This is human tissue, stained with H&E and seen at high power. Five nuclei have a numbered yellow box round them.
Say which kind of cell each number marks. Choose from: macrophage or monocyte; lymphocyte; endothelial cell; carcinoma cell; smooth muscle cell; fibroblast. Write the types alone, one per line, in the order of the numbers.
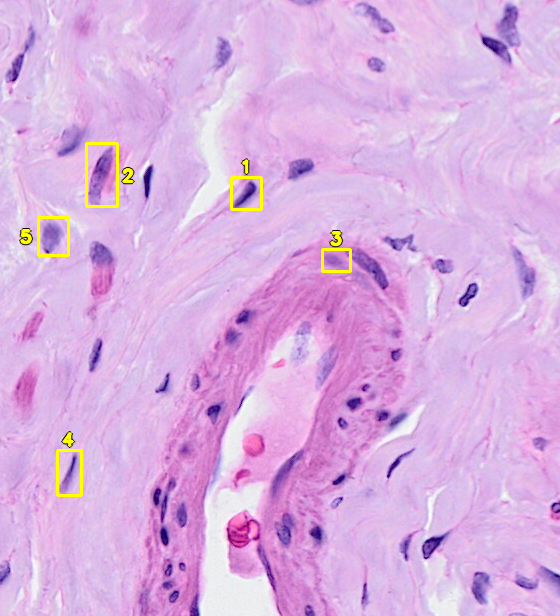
fibroblast
smooth muscle cell
smooth muscle cell
fibroblast
fibroblast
